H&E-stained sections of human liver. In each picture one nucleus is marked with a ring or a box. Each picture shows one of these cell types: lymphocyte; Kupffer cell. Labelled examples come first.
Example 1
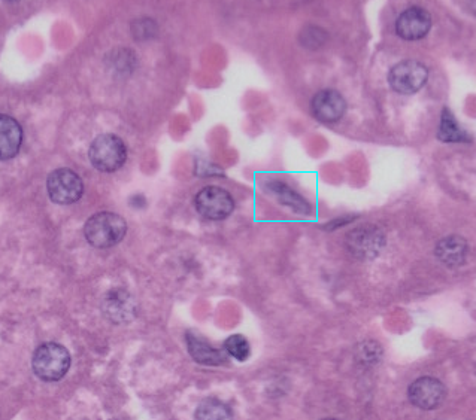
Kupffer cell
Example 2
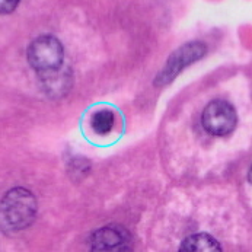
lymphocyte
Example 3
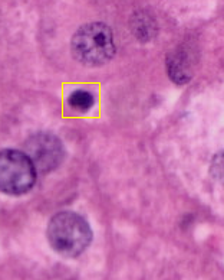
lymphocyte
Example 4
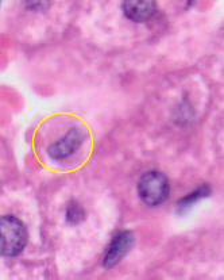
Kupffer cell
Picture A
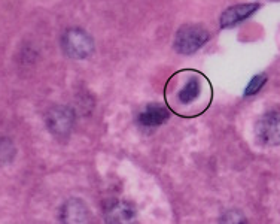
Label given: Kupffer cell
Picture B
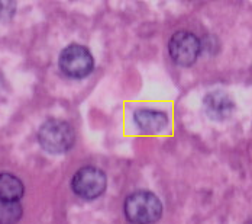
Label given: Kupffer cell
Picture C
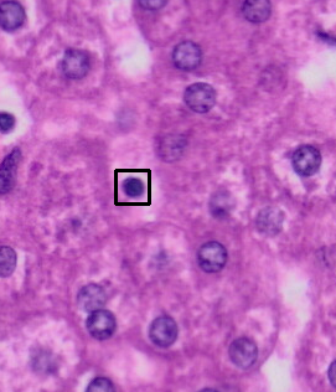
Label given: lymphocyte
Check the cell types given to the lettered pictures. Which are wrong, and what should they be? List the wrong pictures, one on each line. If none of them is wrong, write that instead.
A is labelled Kupffer cell; correct label: lymphocyte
